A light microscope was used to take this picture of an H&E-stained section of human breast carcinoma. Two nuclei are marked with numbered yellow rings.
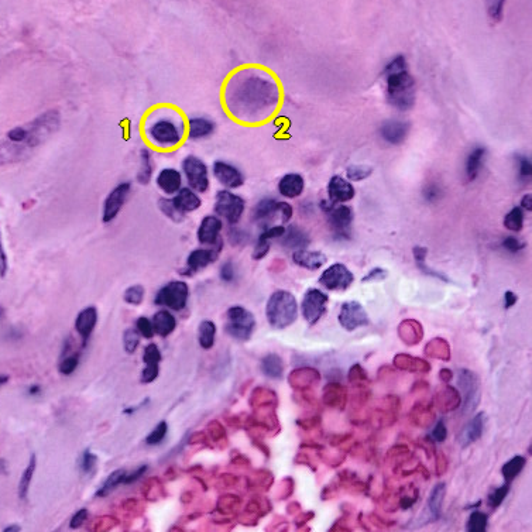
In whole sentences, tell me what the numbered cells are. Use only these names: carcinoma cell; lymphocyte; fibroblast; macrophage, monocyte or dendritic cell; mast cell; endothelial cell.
Cell 1 is a lymphocyte and cell 2 is a fibroblast.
